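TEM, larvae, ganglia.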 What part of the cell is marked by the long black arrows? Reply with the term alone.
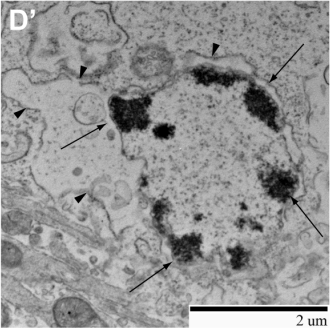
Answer: Chromatin clumps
